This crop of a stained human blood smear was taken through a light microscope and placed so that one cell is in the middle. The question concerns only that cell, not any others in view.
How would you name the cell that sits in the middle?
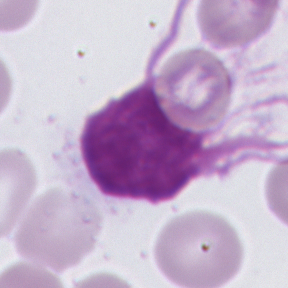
smudge cell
